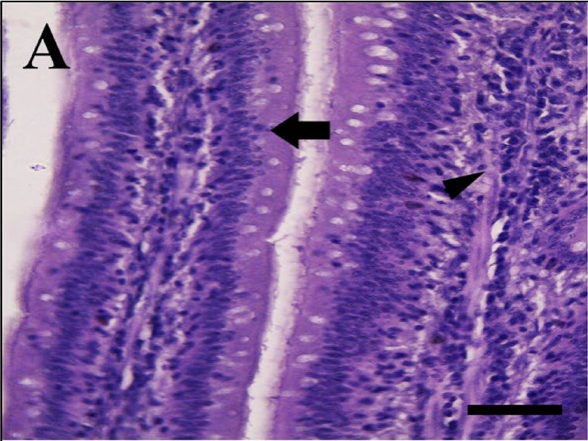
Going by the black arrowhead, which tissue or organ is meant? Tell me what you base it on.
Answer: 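The arrowhead lies in the core of a villus beneath the epithelium. The core holds loosely arranged, densely packed small nuclei.
Conclusion: lamina propria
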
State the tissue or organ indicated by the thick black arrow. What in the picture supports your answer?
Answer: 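The arrow points to a tall layer of columnar cells with elongated, palisaded nuclei. This layer borders the clear lumen between adjacent villi.
Answer: intestinal villi lining epithelium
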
